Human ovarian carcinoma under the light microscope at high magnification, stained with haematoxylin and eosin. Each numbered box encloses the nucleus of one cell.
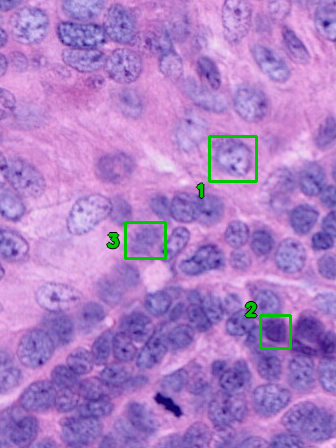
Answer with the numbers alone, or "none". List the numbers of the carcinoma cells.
2, 3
